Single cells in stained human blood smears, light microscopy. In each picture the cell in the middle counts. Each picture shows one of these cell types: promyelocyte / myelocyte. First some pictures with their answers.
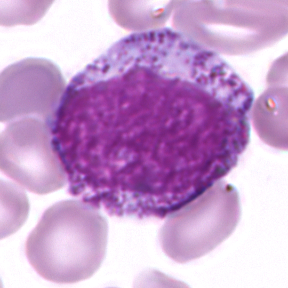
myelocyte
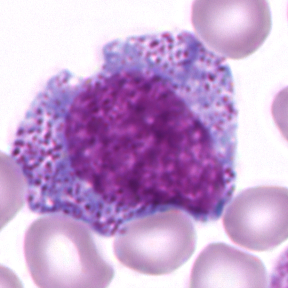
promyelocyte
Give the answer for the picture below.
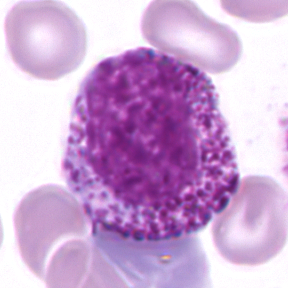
myelocyte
